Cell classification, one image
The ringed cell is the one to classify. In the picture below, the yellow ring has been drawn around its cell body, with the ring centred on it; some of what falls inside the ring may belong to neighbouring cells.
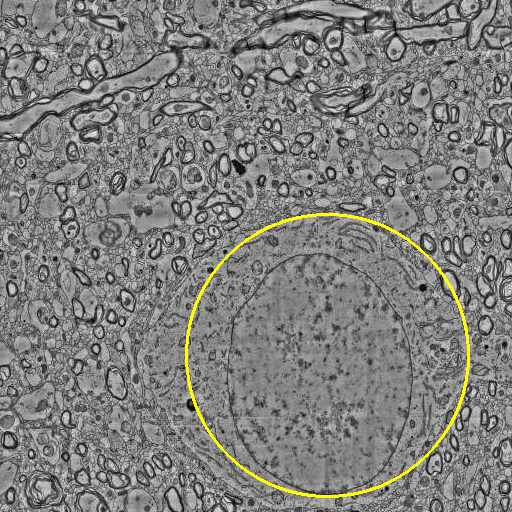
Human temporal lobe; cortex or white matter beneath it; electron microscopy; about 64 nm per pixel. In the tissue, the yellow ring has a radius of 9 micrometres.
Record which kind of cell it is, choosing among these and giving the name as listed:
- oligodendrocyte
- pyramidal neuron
pyramidal neuron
